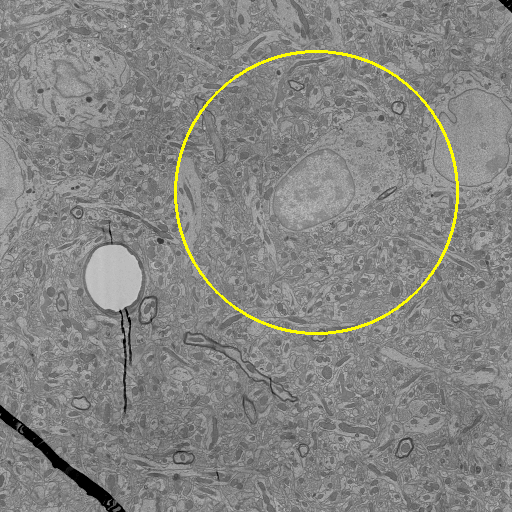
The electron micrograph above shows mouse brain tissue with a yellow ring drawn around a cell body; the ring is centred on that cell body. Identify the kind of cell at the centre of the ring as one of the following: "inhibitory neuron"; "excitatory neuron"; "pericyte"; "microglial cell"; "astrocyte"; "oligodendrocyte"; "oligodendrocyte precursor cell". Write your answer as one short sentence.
The cell at the centre of the ring is an oligodendrocyte.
